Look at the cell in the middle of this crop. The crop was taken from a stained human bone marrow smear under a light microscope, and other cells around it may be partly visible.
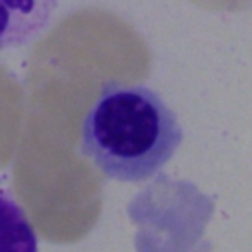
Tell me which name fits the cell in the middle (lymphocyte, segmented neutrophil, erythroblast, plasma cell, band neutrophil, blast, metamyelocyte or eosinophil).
erythroblast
